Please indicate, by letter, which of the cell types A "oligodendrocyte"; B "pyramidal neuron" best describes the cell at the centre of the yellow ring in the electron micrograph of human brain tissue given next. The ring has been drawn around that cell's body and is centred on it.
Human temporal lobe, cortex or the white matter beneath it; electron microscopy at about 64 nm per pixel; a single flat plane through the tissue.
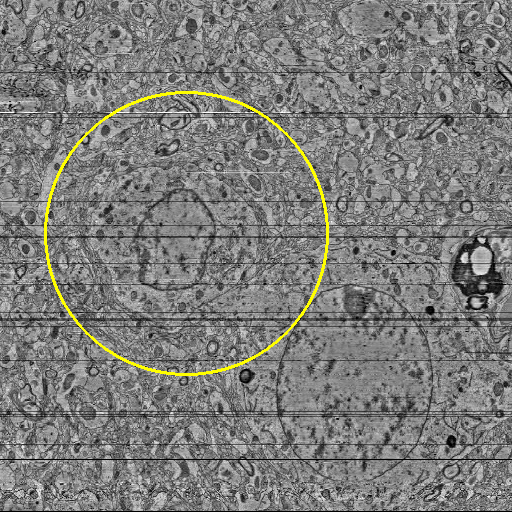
B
